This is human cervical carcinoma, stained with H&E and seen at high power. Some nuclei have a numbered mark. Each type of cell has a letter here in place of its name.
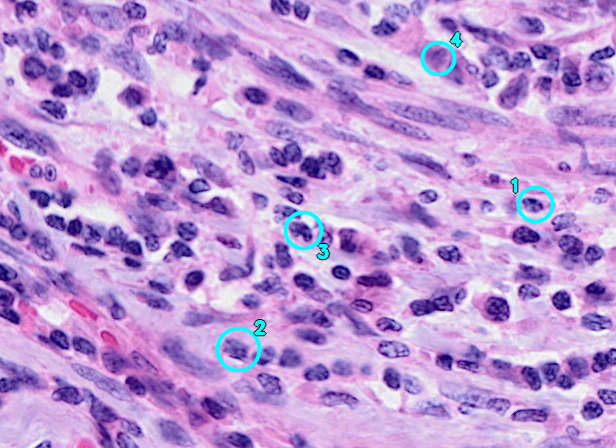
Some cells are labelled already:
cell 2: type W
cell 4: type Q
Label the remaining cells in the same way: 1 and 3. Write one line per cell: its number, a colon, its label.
1: type W
3: type W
